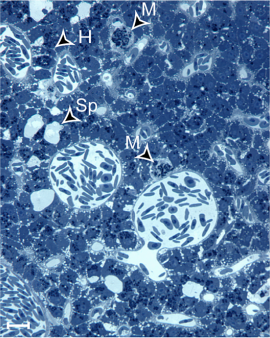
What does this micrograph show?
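Liver tissue with hepatocytes, macrophages and blood vessels. The hepatocytes form a dense blue field speckled with dark granules. Two large round vessel profiles in the middle are filled with many elongated, oval blood cells lying loosely in a pale lumen. Several clusters of cells with coarse, granular, mottled cytoplasm sit among the hepatocytes and are taken for macrophages. Scattered round, clear empty spaces of hepatocyte size interrupt the parenchyma, where cells have been lost. More elongated blood cells lie at the upper left.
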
